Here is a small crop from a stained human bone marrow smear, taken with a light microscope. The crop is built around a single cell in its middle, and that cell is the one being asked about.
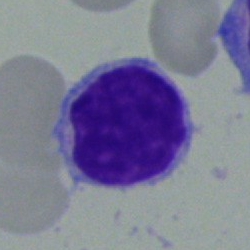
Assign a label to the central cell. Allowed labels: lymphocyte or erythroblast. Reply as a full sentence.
In this smear crop, the middle cell is a lymphocyte.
